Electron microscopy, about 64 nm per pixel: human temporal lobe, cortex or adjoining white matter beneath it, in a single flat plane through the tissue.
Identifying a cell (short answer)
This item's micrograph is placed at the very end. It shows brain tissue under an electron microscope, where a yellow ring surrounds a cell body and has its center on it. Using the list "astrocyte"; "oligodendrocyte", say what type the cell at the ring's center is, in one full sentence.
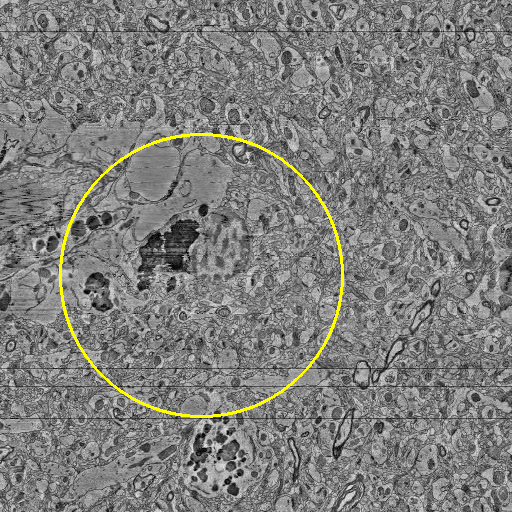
This picture shows an oligodendrocyte at the center of the yellow ring drawn on it.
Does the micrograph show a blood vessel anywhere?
Yes, a blood vessel is present in this picture.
